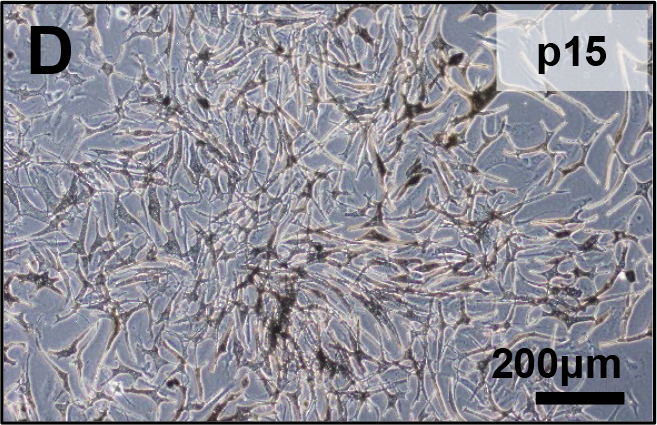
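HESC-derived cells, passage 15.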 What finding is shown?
Pigmented cells were dominant.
